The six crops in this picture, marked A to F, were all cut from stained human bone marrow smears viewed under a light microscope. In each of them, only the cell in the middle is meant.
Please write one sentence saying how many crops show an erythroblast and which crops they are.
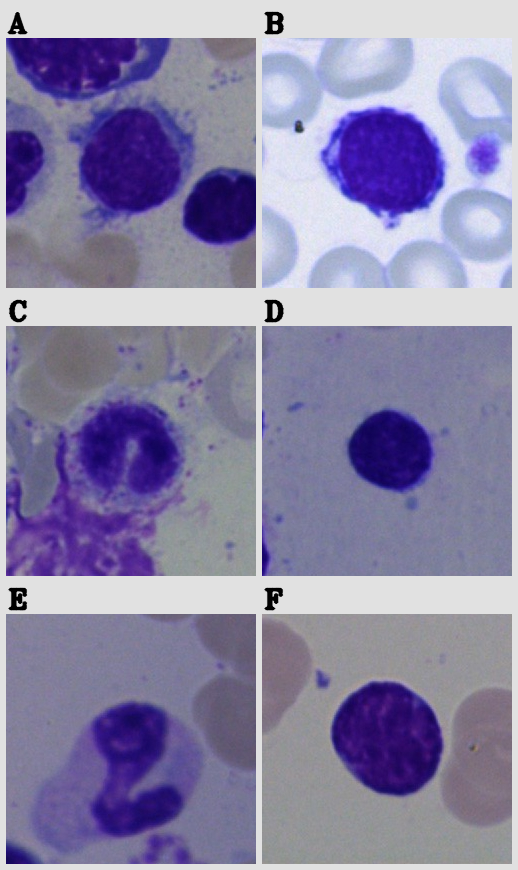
In none of the crops are erythroblasts present, so the count is zero.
